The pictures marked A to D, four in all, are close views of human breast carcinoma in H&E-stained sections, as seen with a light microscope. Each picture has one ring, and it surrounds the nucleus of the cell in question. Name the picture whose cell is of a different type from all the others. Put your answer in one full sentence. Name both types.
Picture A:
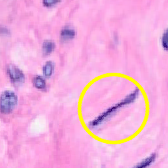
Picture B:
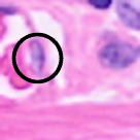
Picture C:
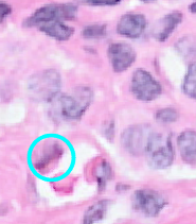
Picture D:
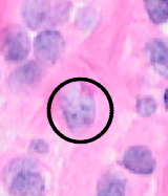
Picture A differs, because its cell is a fibroblast and the rest are endothelial cells.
